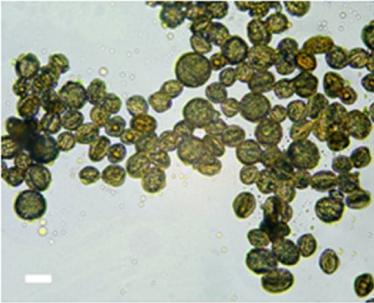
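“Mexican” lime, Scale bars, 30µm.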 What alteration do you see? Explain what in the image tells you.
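Grains of clearly different sizes lie side by side. Some grains are large and round, many others are small and irregular or shrunken. The answer: heterogeneity of pollen diameters.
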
